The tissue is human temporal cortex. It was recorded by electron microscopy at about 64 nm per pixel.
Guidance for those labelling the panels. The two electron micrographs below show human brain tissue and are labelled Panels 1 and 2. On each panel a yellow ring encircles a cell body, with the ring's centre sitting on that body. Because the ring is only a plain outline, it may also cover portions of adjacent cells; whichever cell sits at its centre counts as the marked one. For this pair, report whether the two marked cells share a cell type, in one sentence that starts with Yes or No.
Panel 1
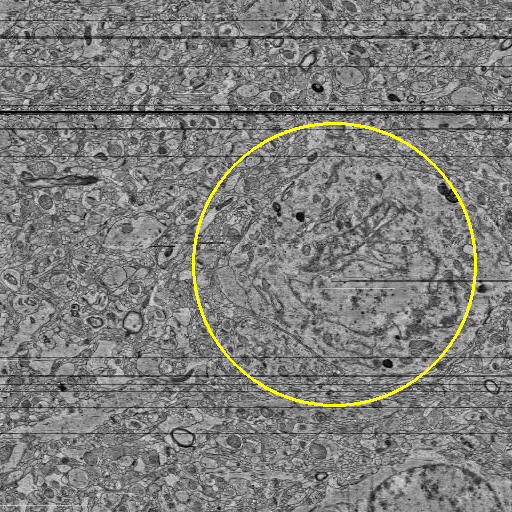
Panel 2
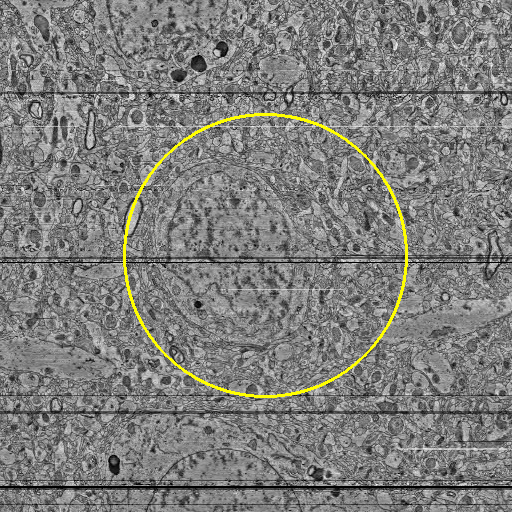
Yes, in Panel 1 and Panel 2 the marked cells at the ring centres share one type.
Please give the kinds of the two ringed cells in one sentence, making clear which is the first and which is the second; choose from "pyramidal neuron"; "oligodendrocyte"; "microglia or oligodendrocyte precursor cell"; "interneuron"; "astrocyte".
In both pictures the ring is centred on an interneuron.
